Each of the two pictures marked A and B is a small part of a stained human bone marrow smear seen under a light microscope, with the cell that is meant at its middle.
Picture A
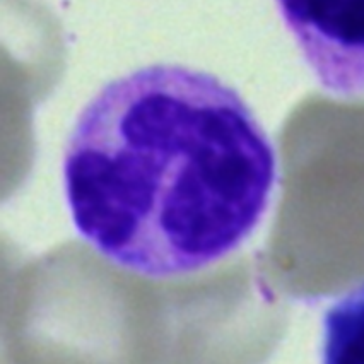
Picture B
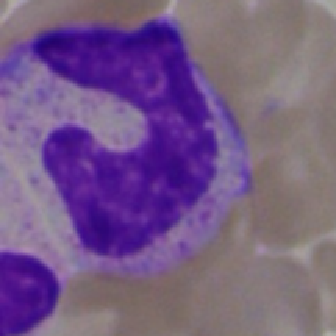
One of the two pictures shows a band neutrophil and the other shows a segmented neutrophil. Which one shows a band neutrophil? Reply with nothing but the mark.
B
